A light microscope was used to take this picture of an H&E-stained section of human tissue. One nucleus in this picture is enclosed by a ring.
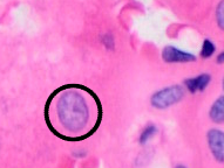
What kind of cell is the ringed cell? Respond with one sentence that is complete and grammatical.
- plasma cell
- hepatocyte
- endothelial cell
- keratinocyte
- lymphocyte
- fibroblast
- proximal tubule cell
As for its identity, the ringed cell is a proximal tubule cell.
